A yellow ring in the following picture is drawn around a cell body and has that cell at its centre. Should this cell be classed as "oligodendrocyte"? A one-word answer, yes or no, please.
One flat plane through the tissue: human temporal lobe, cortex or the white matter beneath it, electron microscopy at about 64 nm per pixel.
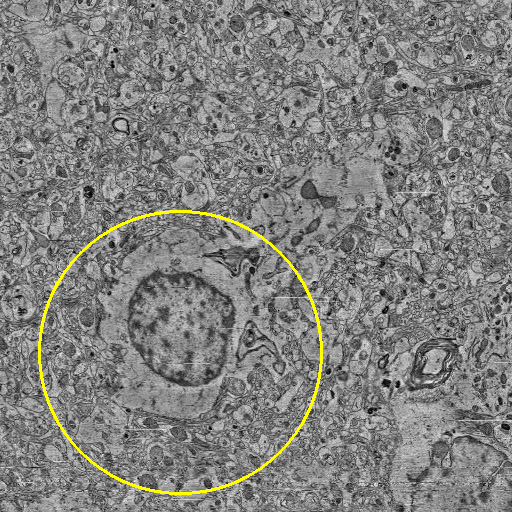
No, it is of another kind.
